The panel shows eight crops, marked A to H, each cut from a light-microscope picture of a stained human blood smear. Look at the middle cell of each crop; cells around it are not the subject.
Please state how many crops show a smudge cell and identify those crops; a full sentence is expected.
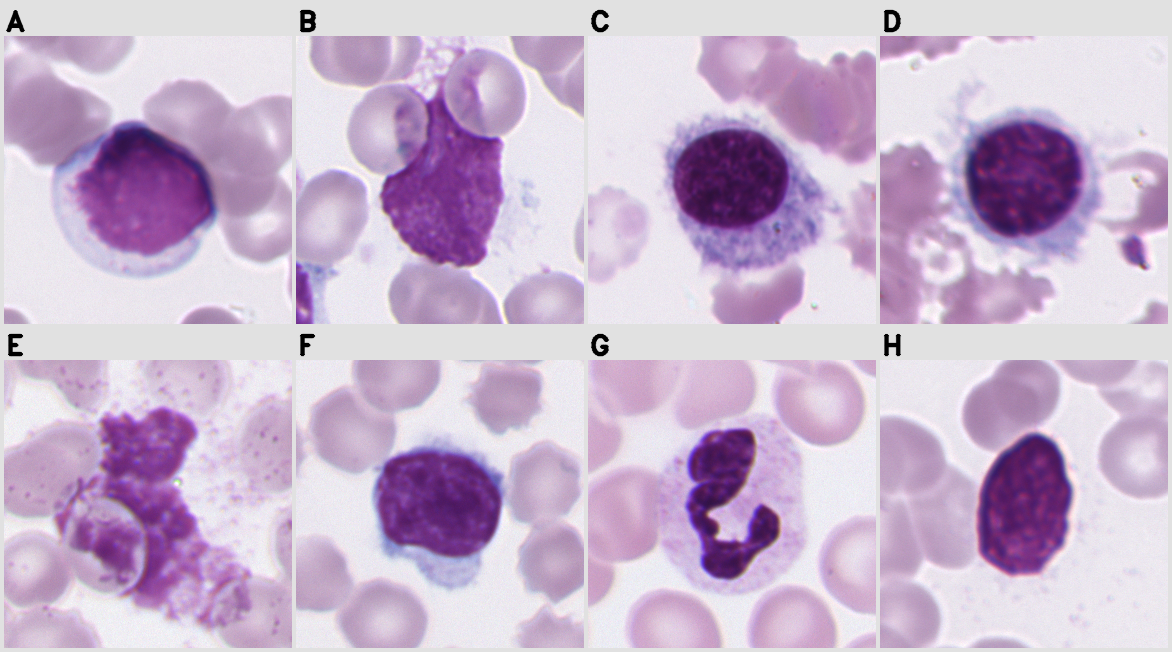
Exactly three crops show smudge cells, and these are B, E and H.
